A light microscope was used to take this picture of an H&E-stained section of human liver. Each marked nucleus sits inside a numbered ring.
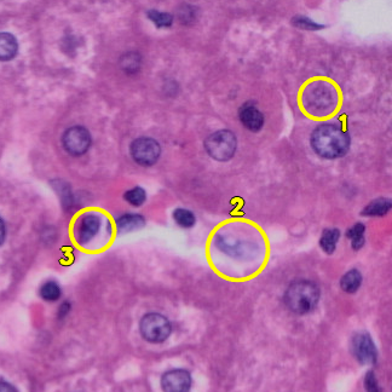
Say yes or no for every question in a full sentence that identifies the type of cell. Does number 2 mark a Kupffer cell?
Yes, the cell that the number 2 labels is a Kupffer cell.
